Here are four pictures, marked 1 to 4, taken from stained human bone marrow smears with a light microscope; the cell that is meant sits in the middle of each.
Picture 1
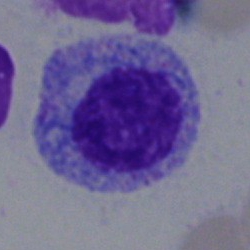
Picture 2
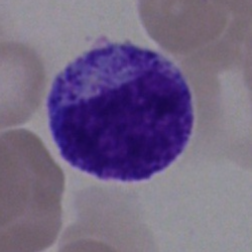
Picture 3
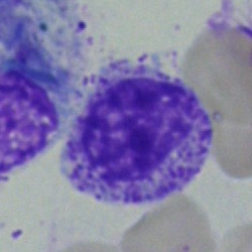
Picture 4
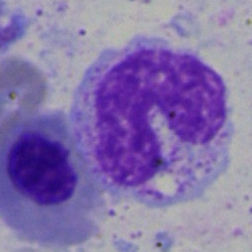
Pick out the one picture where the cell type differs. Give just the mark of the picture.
4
